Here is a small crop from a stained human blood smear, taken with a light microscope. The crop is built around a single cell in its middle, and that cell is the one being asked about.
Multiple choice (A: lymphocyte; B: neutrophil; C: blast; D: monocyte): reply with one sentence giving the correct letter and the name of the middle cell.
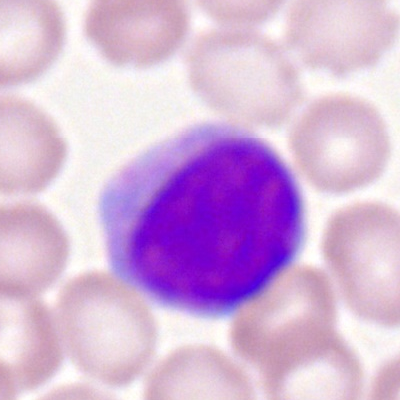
The correct option is C, as the central cell is a blast.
